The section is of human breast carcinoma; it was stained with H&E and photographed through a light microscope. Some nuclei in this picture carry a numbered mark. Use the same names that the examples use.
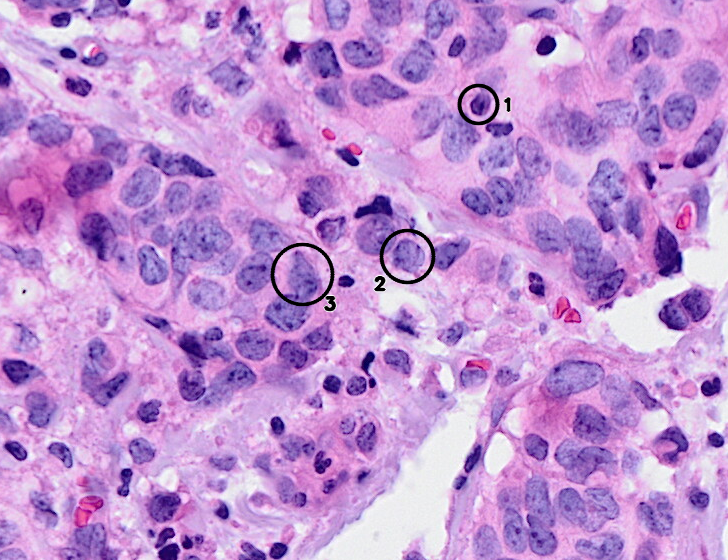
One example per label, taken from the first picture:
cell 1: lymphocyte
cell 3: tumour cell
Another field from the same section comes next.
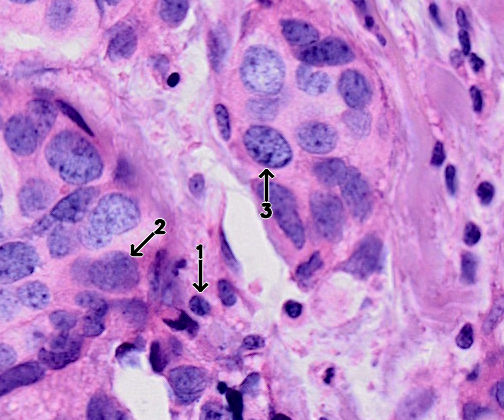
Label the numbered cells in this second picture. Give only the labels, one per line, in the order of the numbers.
lymphocyte
tumour cell
tumour cell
